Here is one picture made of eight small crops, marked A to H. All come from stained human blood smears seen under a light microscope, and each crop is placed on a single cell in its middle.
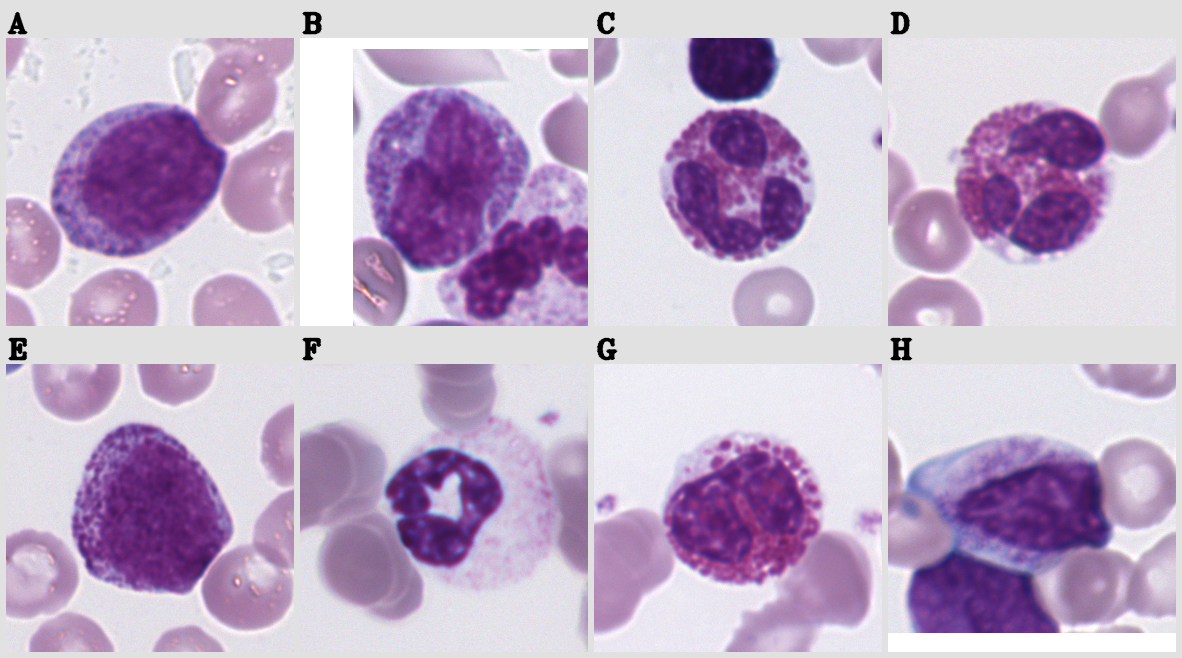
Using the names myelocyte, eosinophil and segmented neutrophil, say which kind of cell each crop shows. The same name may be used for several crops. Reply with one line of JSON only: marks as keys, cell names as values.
{"A": "myelocyte", "B": "myelocyte", "C": "eosinophil", "D": "eosinophil", "E": "myelocyte", "F": "segmented neutrophil", "G": "eosinophil", "H": "myelocyte"}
